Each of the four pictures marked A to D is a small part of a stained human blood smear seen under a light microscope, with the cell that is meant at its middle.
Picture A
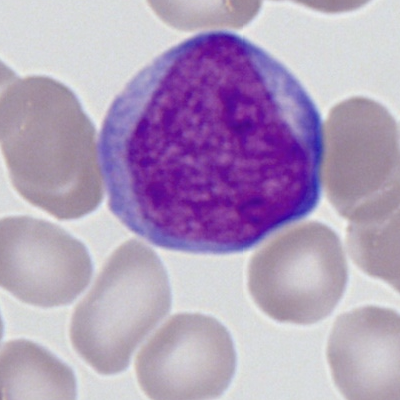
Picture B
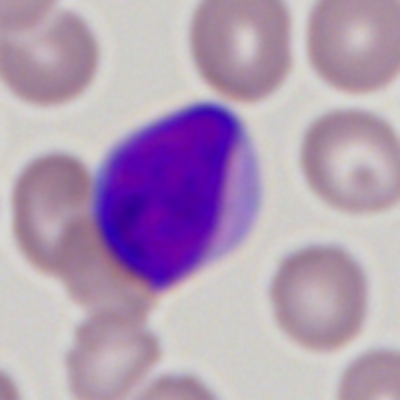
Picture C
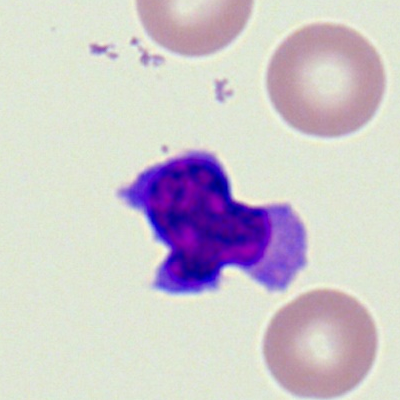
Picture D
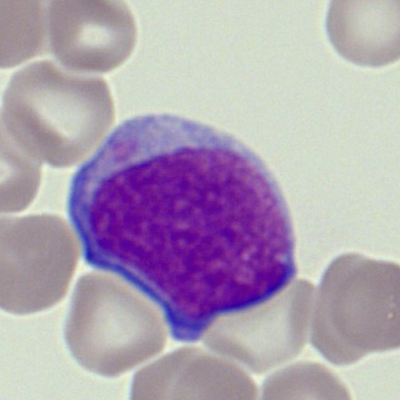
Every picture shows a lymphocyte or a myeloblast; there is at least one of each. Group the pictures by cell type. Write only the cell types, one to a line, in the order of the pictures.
myeloblast
myeloblast
lymphocyte
myeloblast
